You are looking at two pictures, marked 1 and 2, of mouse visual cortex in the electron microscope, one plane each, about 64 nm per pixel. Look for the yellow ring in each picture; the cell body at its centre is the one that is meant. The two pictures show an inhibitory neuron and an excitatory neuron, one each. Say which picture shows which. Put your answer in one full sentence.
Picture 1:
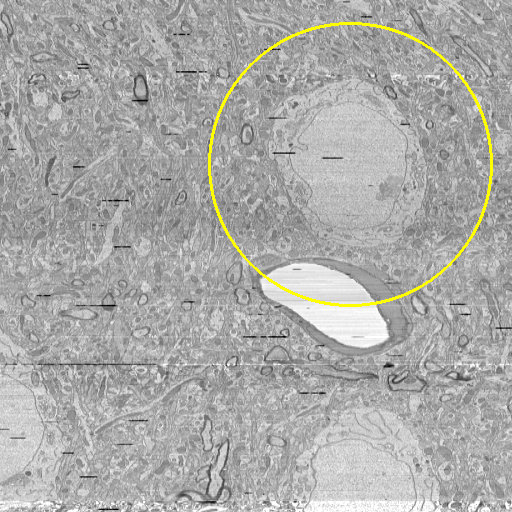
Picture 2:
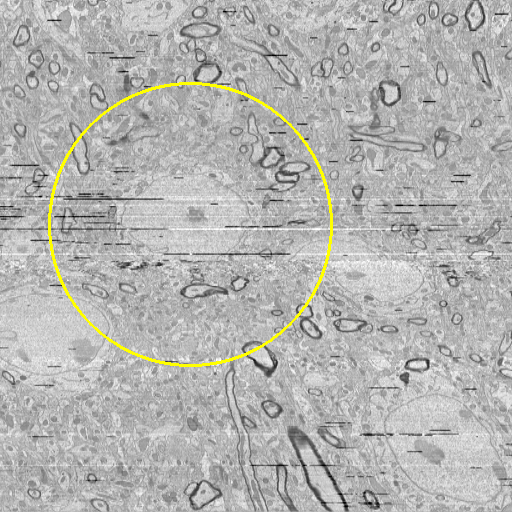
Picture 2 shows an inhibitory neuron, while picture 1 shows an excitatory neuron.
